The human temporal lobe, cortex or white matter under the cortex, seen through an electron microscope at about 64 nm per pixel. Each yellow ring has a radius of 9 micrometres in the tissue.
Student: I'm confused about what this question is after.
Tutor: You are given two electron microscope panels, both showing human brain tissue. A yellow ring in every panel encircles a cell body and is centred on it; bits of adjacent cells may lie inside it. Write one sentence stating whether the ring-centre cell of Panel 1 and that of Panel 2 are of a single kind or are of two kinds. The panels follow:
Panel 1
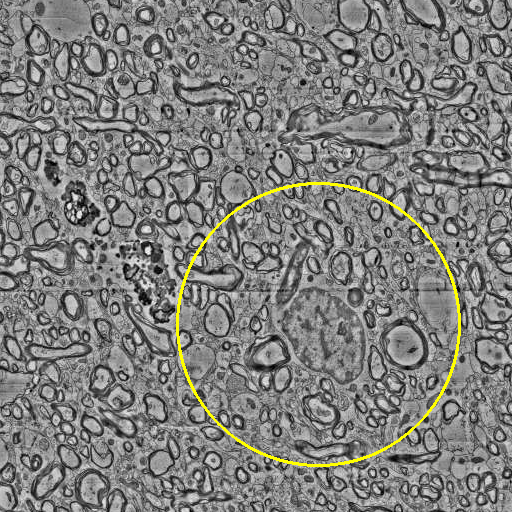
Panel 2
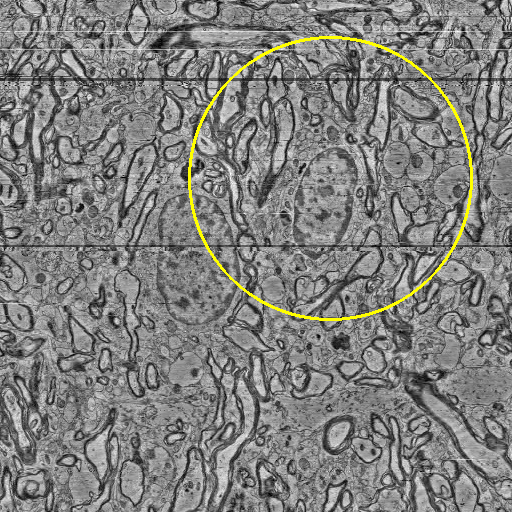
Here, the Panel 1 ring-centre cell and the Panel 2 ring-centre cell are of two kinds.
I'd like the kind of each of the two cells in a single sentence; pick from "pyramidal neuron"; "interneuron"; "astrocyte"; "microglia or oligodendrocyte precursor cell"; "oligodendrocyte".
The first ring marks an oligodendrocyte, and the second ring marks a microglial cell or oligodendrocyte precursor cell.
